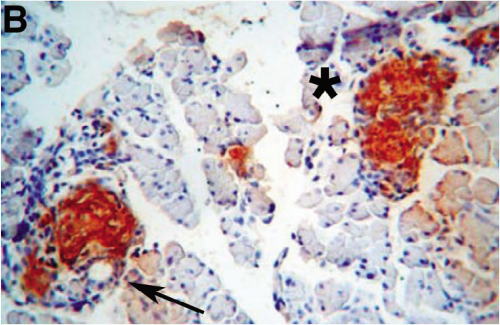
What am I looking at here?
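Two islets are clearly visible, each a round, compact group of tightly packed cells with brown cytoplasm. Around them lie acinar cells arranged in small lobules with blue nuclei and lightly stained cytoplasm. At the lower left, one islet sits right at the edge of a small duct, a round lumen lined by a thin layer of cells. The islet at the upper right lies on its own among acinar tissue with no duct touching it.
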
